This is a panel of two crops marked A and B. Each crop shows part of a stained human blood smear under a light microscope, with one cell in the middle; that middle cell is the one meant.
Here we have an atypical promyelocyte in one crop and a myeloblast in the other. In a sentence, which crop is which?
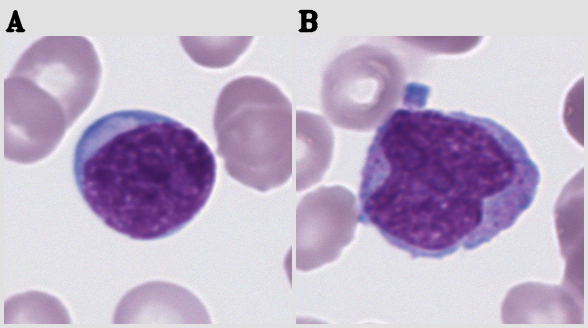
Crop A is a myeloblast; crop B, on the other hand, is an atypical promyelocyte.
